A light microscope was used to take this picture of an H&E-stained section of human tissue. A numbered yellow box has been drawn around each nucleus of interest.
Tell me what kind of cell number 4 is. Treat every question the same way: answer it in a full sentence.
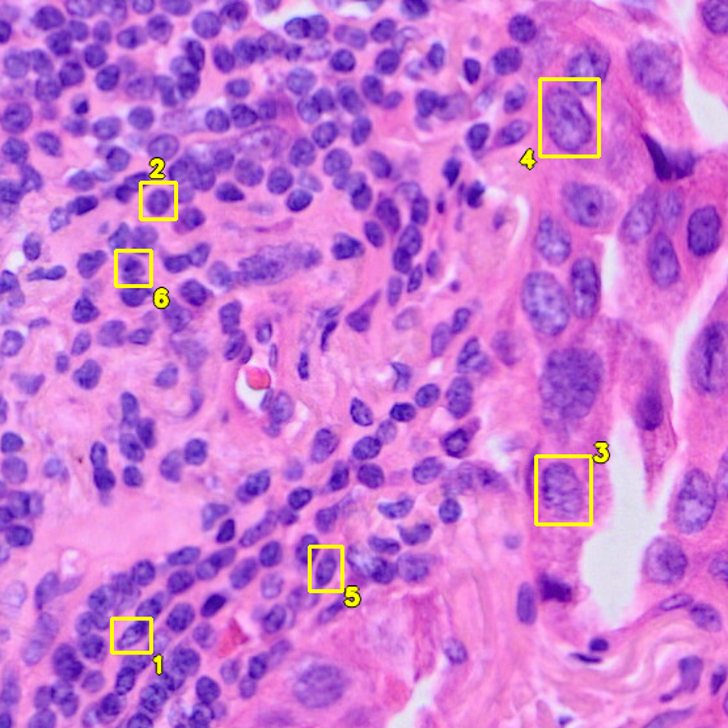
Looking at the numbered marks, cell 4 is a carcinoma cell.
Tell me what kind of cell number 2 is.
Here the cell numbered 2 is a lymphocyte.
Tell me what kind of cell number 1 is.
The cell tagged with 1 in this tissue section is a lymphocyte.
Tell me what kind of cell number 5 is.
The cell referred to as 5 is a lymphocyte.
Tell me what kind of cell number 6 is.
What the number 6 marks in this field is a lymphocyte.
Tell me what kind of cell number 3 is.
In the marked set, the cell given number 3 is a carcinoma cell.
